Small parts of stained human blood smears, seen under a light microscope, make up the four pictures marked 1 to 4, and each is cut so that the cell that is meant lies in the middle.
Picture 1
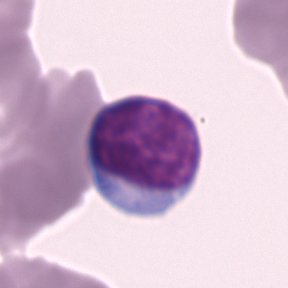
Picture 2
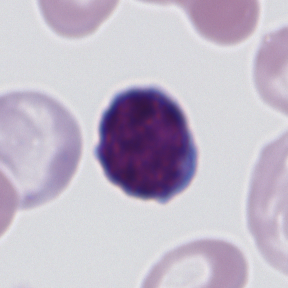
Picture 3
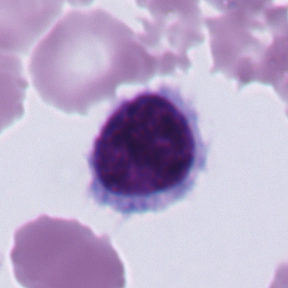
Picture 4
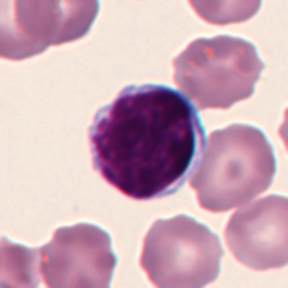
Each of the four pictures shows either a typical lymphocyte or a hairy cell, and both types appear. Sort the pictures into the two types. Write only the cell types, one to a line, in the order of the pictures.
typical lymphocyte
typical lymphocyte
hairy cell
typical lymphocyte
